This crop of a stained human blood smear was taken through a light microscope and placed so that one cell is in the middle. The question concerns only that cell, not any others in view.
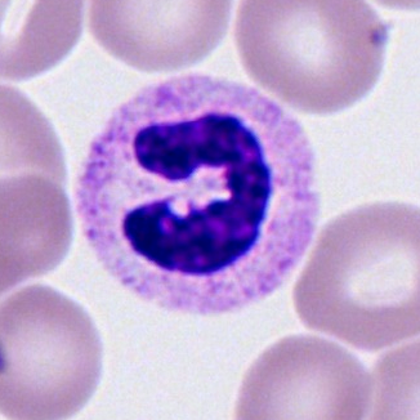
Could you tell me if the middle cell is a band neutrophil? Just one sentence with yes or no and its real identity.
Yes, the cell lying in the centre of the crop is identified as a band neutrophil.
